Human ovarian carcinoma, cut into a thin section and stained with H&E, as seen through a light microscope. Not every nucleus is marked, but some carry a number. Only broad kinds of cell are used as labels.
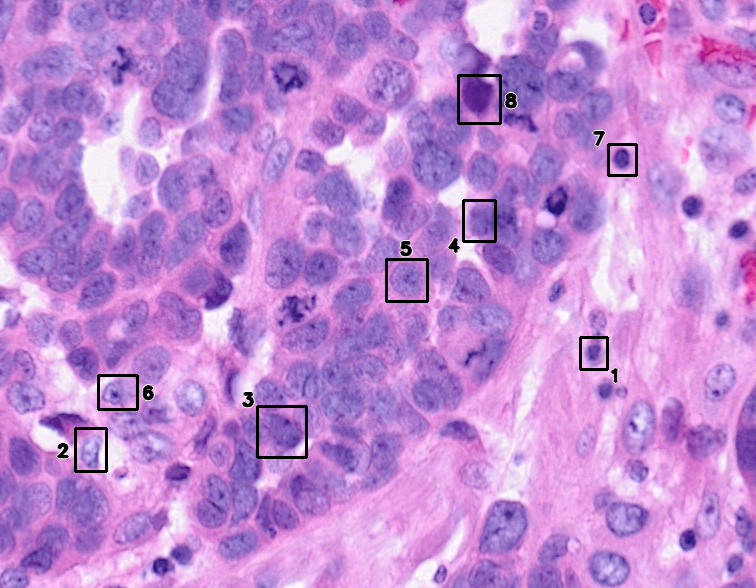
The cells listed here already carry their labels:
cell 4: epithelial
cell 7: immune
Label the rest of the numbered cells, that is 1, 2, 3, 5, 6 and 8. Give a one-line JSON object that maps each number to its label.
{"1": "immune", "2": "immune", "3": "epithelial", "5": "epithelial", "6": "immune", "8": "epithelial"}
